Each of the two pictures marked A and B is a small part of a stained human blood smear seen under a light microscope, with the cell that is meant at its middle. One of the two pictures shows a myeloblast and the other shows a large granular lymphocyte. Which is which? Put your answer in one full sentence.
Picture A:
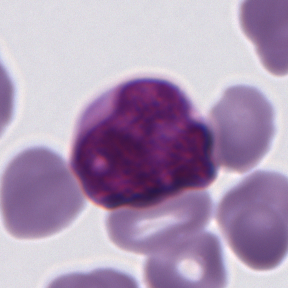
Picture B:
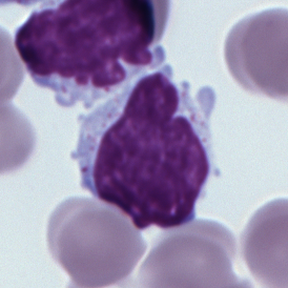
In picture A the cell is a myeloblast; in picture B, a large granular lymphocyte.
